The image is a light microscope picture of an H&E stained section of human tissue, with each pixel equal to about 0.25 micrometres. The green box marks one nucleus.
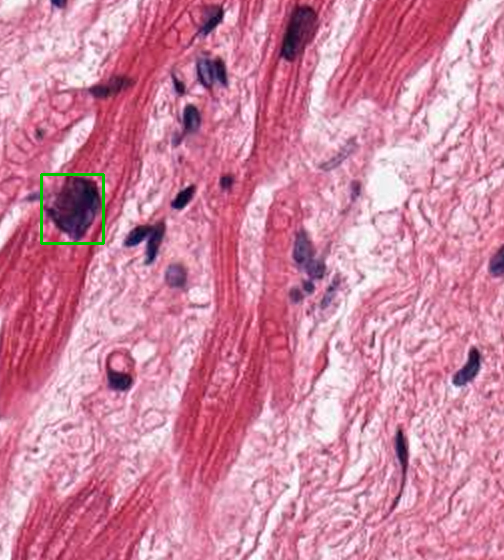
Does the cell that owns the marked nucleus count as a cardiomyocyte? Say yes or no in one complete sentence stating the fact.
Yes, it is the nucleus of a cardiomyocyte that has been marked.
